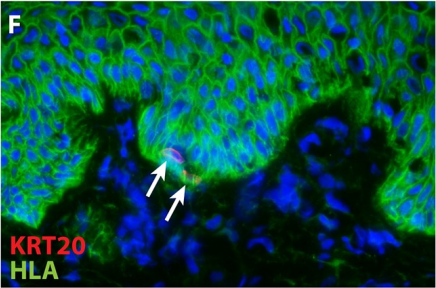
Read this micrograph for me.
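The upper part is a stratified epithelium of polygonal cells outlined in green, each with a blue nucleus, whose lower border dips into ridges over a loose tissue crowded with blue nuclei. At the base of one ridge two small cells show red cytoplasm, lying in the lowest cell layer next to the underlying tissue.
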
